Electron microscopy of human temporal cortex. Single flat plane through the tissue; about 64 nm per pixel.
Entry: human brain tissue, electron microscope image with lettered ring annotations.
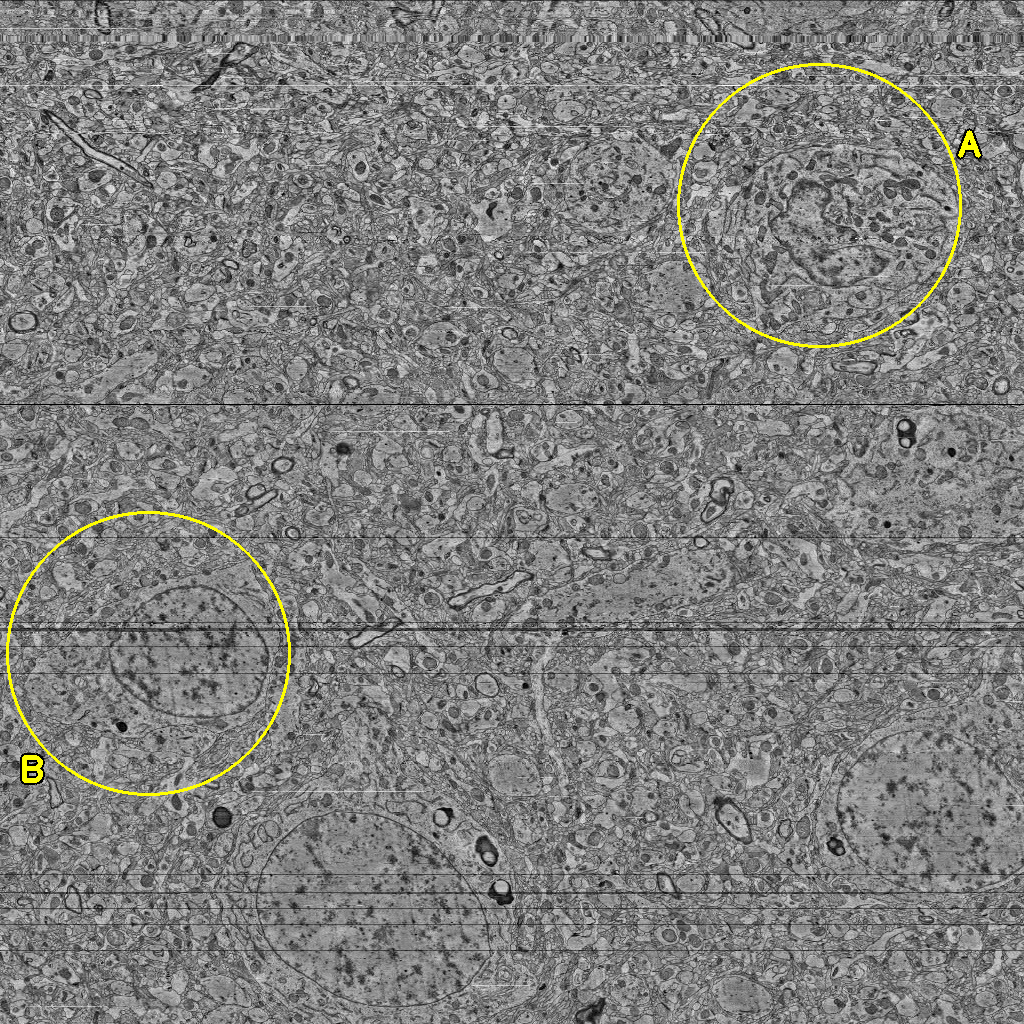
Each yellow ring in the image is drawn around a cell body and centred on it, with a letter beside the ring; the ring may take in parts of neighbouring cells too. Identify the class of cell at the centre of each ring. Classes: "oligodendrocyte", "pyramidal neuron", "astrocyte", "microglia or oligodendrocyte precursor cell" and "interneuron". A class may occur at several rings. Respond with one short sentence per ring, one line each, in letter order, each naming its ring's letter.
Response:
Ring A holds an interneuron at its centre.
Ring B holds a pyramidal neuron at its centre.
